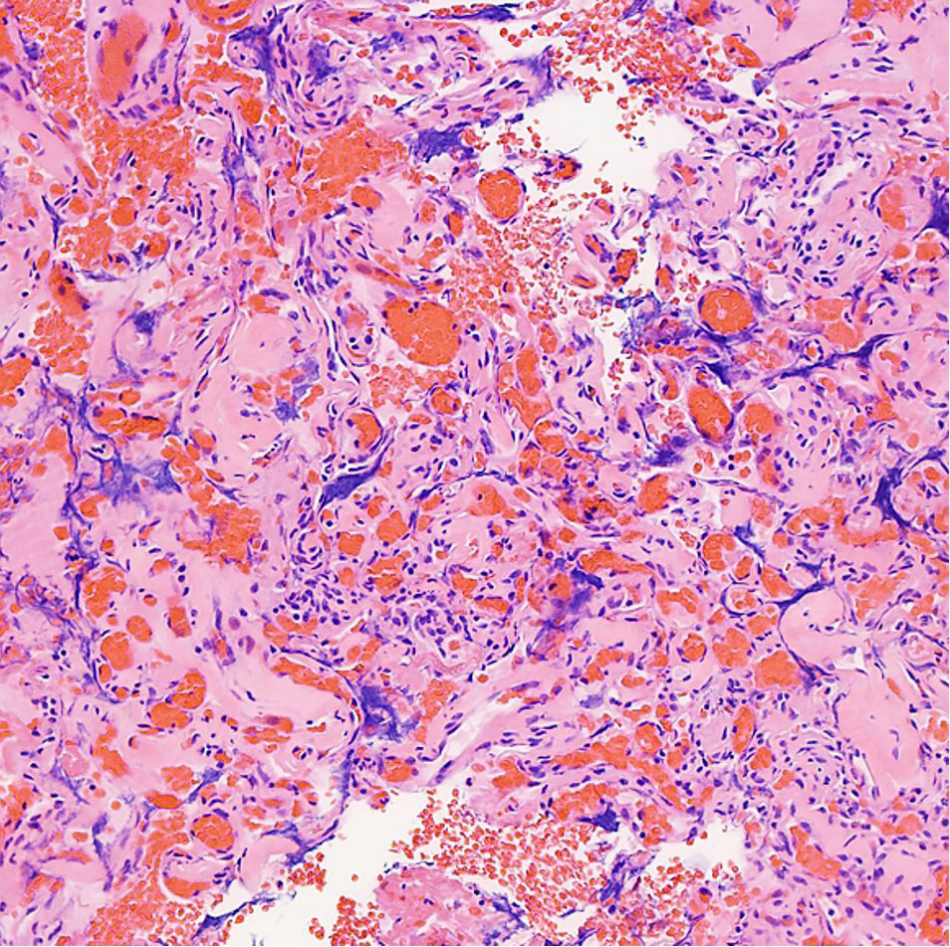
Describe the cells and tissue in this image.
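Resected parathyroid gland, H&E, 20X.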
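The field is crowded with many small vascular channels, rounded to irregular and closely packed, each filled with bright red blood cells and lined by flat cells with thin, elongated dark nuclei. Between the channels lies pink fibrous stroma with scattered spindle-shaped nuclei and small patches of purple material, and in places free blood cells spill into open spaces. The lining nuclei look small and bland, without crowding or enlargement.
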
